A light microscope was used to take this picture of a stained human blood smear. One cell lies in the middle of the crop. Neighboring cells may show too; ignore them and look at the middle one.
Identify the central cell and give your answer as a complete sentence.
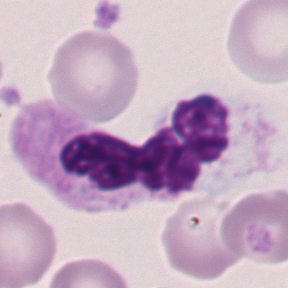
The center cell of this crop is a segmented neutrophil.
